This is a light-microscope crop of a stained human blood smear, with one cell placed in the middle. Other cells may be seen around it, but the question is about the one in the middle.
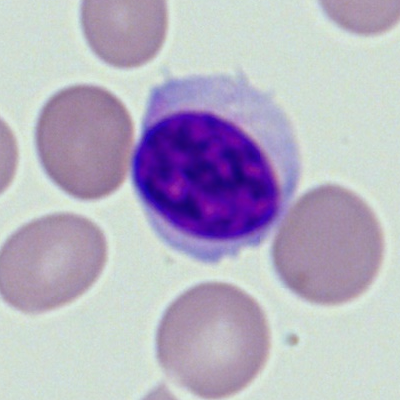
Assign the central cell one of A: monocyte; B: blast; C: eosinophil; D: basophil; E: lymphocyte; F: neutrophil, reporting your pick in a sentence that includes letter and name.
Seen at the centre of the crop is a lymphocyte, so option E is correct.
